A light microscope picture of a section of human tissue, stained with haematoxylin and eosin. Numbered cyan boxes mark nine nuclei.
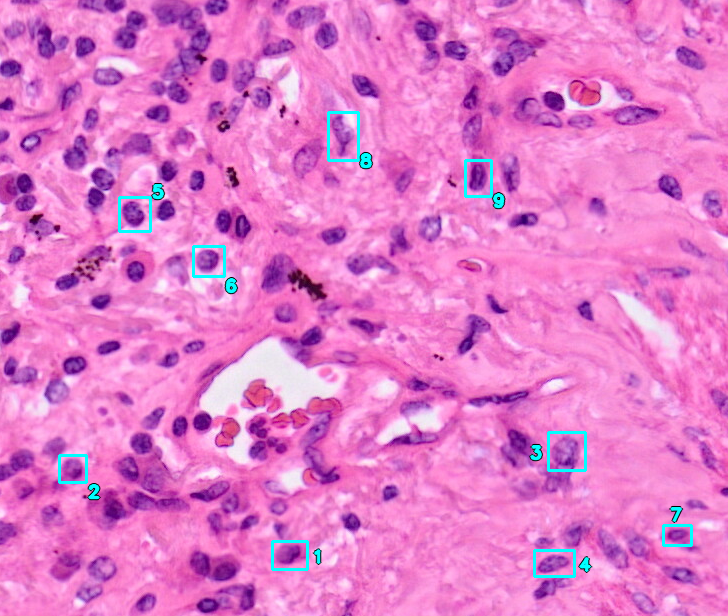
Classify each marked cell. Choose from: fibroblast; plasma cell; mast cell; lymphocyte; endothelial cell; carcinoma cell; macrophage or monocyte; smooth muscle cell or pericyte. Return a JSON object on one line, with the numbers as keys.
{"1": "plasma cell", "2": "plasma cell", "3": "fibroblast", "4": "mast cell", "5": "lymphocyte", "6": "lymphocyte", "7": "mast cell", "8": "fibroblast", "9": "plasma cell"}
